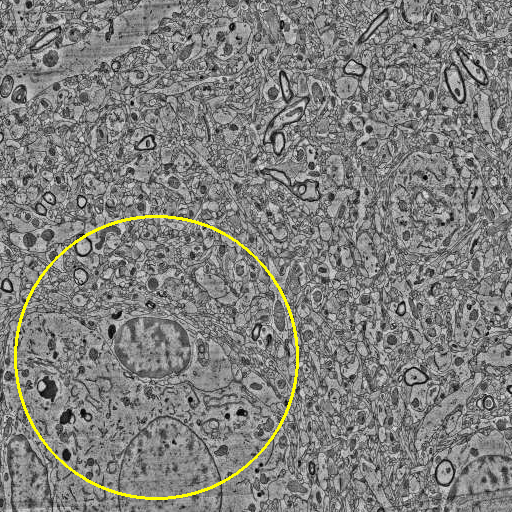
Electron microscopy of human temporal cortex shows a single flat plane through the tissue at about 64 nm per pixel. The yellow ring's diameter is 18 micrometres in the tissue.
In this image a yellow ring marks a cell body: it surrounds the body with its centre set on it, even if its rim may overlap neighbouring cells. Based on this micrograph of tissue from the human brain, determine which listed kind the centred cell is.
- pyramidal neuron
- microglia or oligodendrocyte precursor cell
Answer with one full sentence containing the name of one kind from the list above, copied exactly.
It is a microglial cell or oligodendrocyte precursor cell whose body the yellow ring encloses at its centre.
